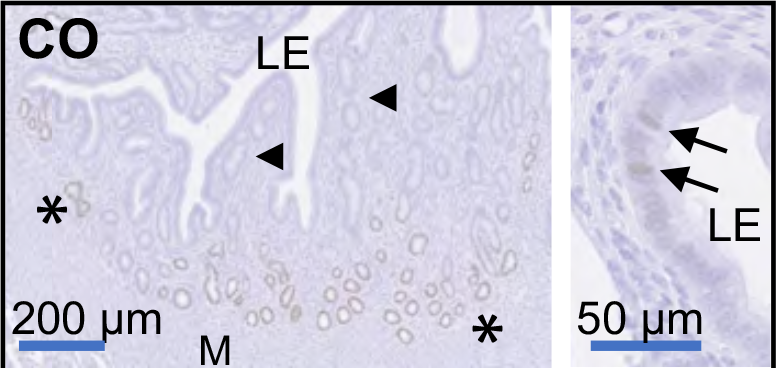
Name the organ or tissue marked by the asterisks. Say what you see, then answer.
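Asterisks lie beside small round tubular cross-sections deep in the wall. These small tubules are lined by a single epithelial layer with brown nuclei.
Hence: glandular epithelium.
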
